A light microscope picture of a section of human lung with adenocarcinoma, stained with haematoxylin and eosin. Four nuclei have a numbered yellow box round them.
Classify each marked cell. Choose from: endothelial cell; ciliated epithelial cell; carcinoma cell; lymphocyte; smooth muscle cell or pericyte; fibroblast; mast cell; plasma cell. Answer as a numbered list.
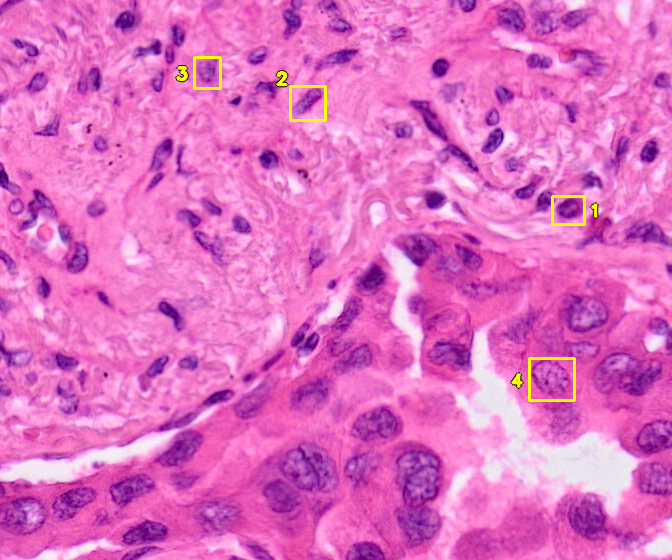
1. plasma cell
2. smooth muscle cell or pericyte
3. smooth muscle cell or pericyte
4. carcinoma cell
